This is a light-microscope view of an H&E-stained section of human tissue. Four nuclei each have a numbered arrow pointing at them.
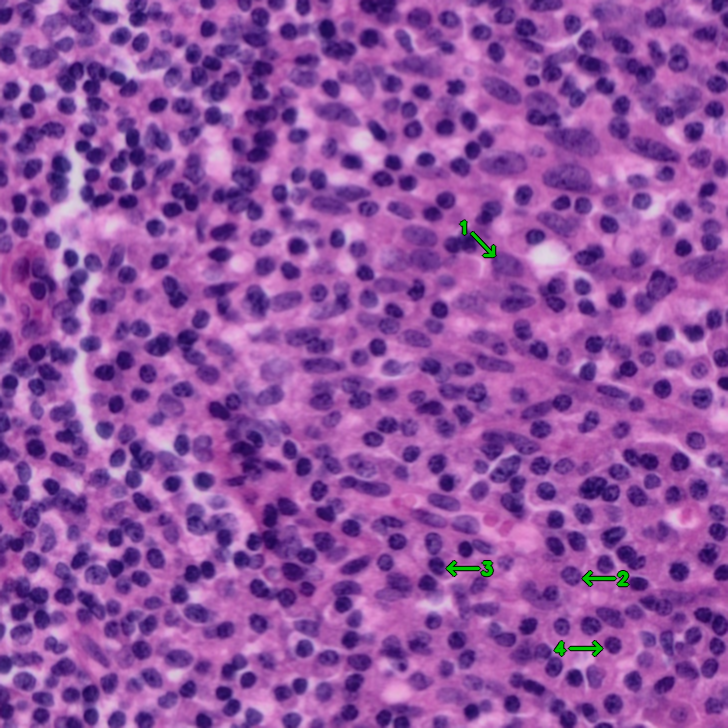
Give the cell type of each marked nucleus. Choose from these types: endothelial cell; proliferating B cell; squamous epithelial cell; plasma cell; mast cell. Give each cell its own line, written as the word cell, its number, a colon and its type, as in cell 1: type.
cell 1: squamous epithelial cell
cell 2: plasma cell
cell 3: plasma cell
cell 4: plasma cell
